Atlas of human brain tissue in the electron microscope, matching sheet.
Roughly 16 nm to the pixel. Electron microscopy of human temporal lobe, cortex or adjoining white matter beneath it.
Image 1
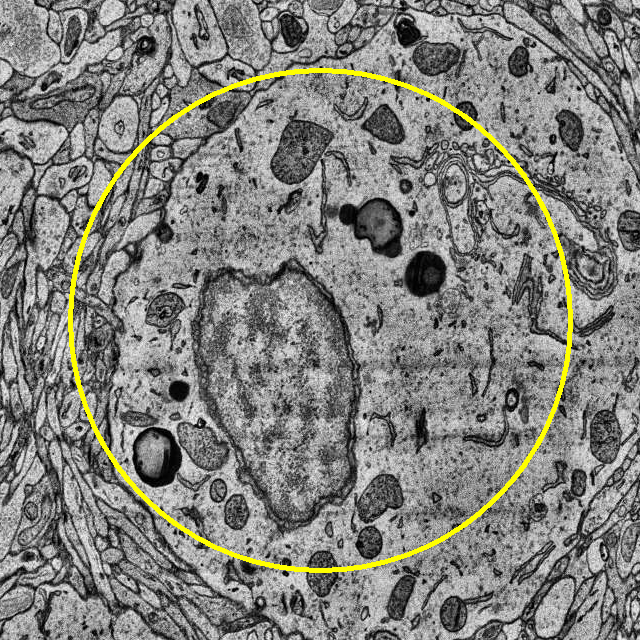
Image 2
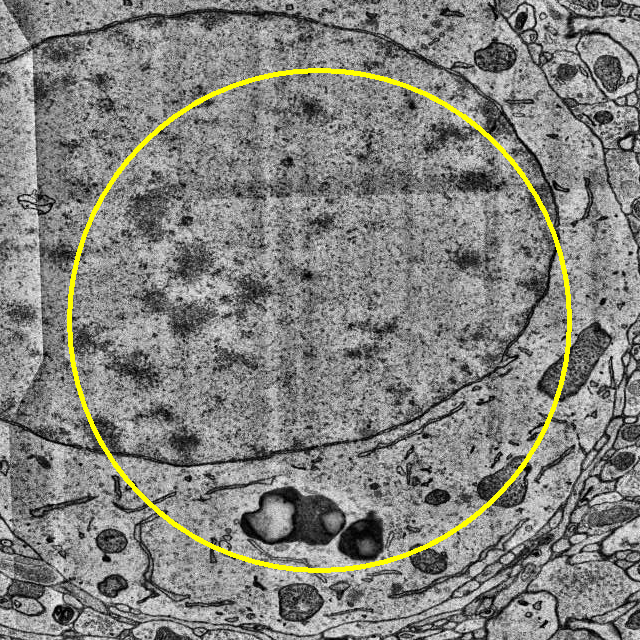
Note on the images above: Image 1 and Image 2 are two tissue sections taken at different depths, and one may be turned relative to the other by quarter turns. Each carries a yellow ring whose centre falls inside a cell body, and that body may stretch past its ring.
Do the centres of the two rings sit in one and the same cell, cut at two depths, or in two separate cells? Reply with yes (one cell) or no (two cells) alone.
yes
